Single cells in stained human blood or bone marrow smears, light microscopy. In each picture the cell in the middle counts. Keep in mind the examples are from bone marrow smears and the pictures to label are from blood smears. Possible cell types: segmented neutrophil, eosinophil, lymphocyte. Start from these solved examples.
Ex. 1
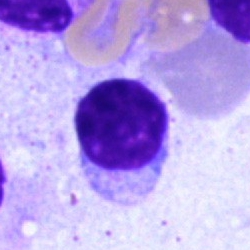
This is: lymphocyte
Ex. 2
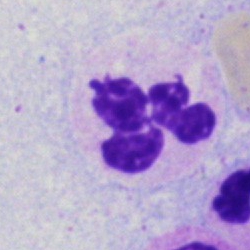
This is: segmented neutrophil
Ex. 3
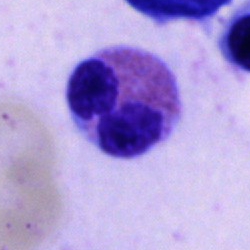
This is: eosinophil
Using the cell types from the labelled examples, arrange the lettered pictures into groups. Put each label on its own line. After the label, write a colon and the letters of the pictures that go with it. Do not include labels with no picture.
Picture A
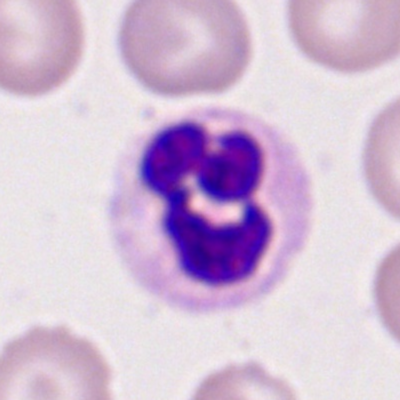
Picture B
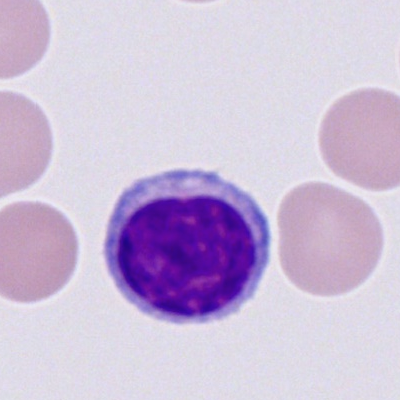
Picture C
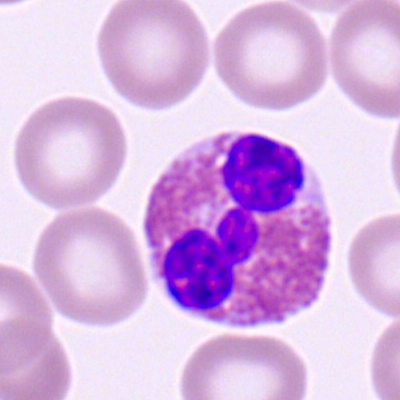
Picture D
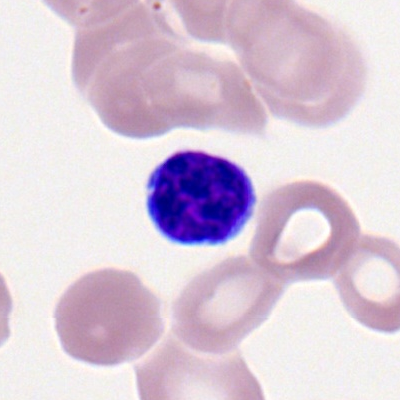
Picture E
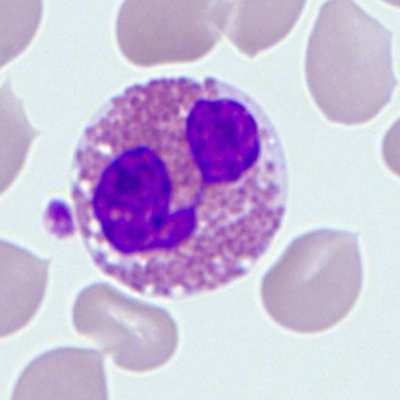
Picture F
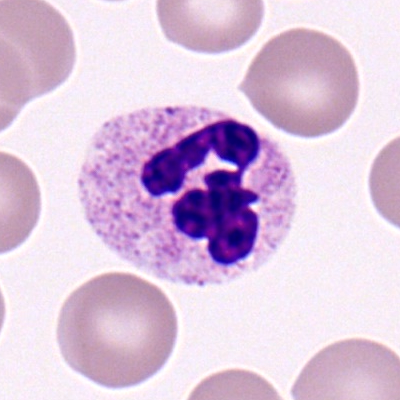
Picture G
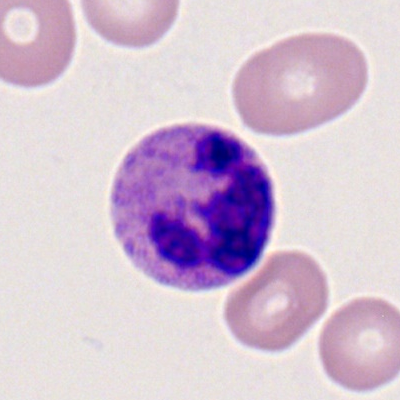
segmented neutrophil: A, F, G
eosinophil: C, E
lymphocyte: B, D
